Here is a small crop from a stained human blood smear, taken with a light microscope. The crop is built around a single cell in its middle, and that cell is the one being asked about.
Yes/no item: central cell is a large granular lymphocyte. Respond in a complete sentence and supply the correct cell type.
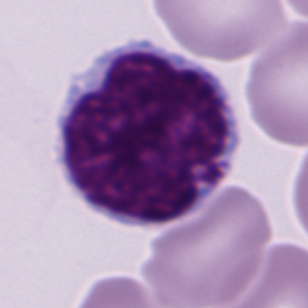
No, the central cell is designated a typical lymphocyte and not a large granular lymphocyte.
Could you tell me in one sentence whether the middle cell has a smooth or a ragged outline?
As for its outline, the cell is irregular, ragged or drawn into projections.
